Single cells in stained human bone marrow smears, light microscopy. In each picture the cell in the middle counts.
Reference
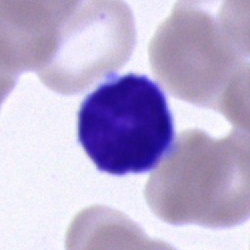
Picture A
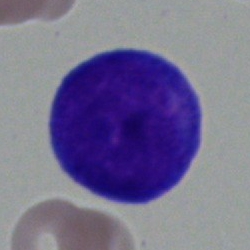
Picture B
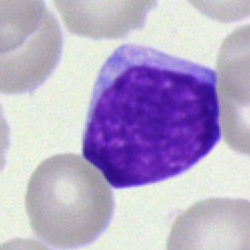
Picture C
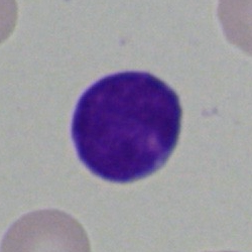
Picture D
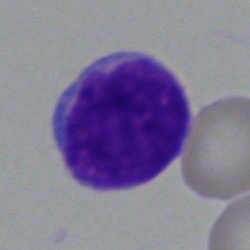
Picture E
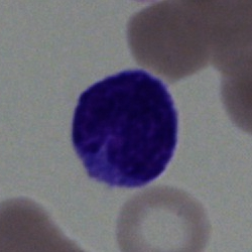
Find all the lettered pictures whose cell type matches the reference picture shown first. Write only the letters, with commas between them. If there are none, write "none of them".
E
